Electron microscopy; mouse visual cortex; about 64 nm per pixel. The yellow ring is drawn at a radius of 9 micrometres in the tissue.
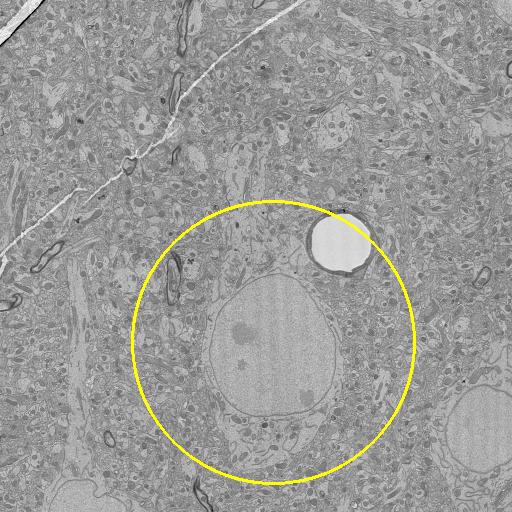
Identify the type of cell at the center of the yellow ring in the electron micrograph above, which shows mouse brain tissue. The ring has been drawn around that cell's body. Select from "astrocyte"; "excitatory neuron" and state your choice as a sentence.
The yellow ring is centered on the body of an excitatory neuron.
